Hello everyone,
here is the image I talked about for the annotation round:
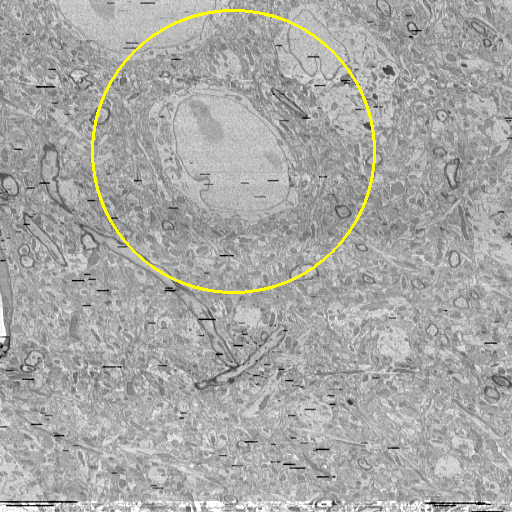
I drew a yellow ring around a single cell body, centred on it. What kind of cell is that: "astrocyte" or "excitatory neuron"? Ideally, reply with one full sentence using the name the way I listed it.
The cell your yellow ring is centred on is an excitatory neuron, going by your list.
